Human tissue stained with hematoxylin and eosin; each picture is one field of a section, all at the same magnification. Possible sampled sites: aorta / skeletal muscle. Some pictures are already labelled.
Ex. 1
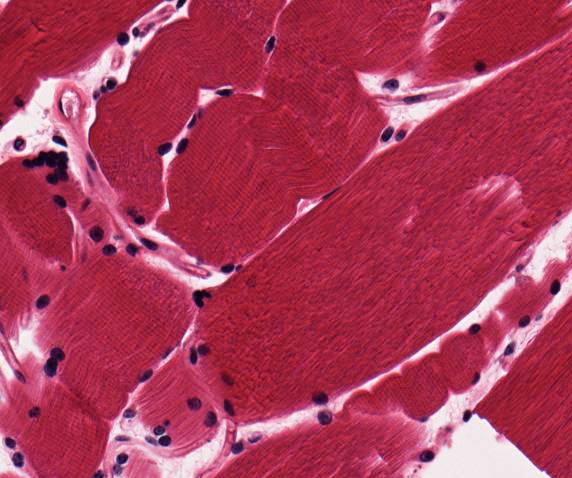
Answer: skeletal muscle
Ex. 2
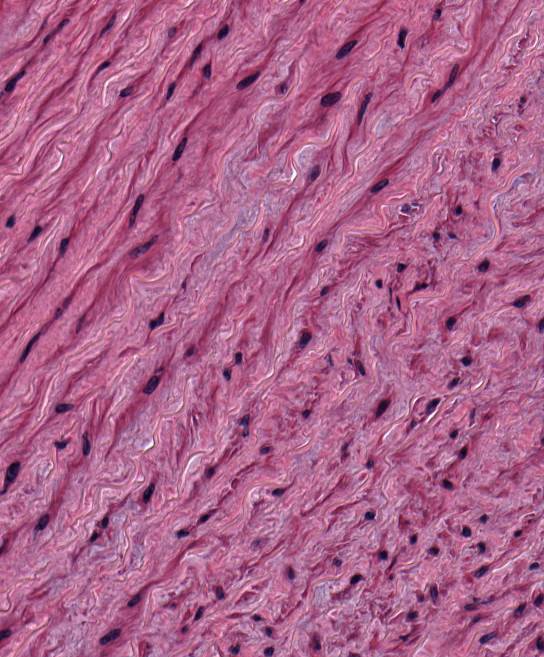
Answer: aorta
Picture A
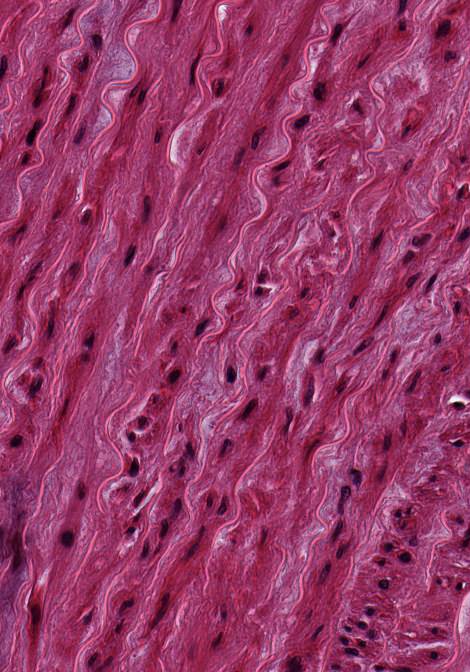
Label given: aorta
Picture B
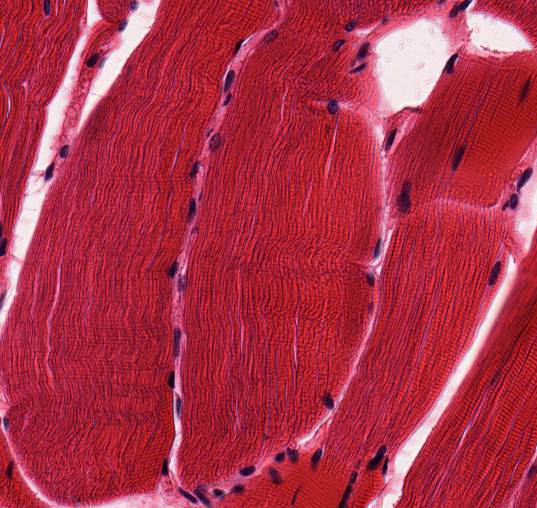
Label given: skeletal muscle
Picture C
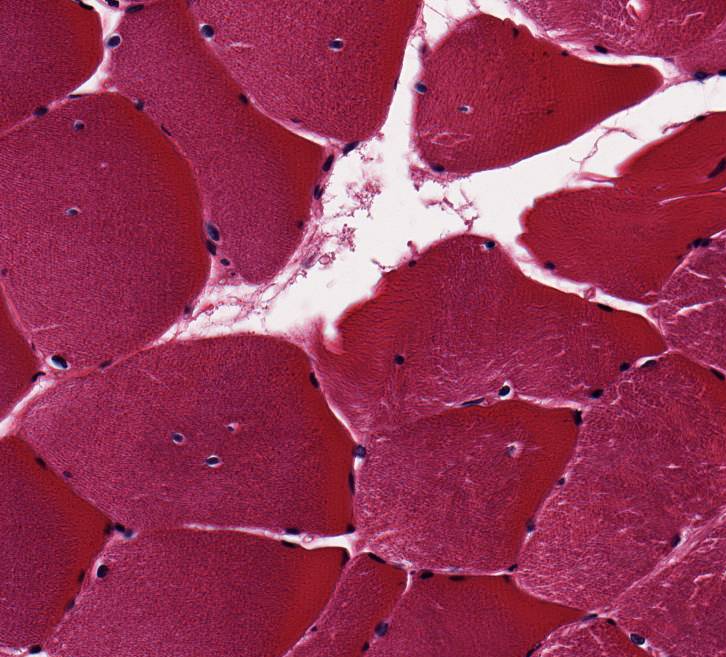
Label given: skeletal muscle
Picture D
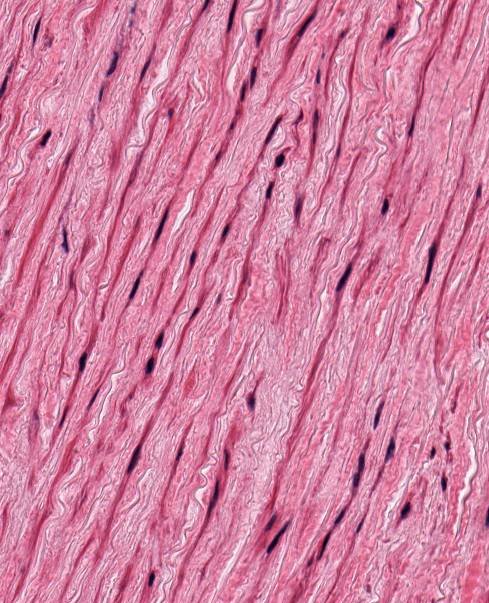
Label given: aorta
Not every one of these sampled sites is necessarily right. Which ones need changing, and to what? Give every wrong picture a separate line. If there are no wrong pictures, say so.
All correct.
